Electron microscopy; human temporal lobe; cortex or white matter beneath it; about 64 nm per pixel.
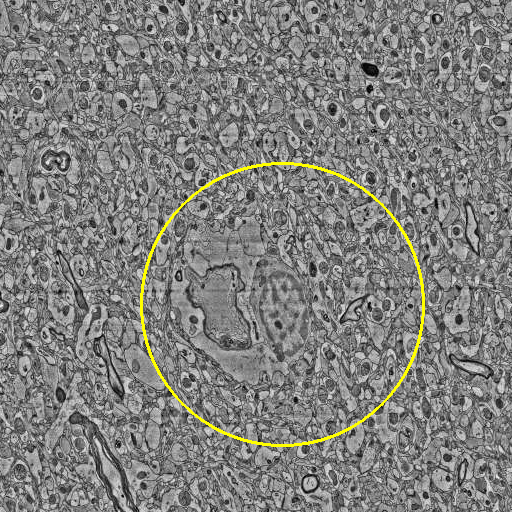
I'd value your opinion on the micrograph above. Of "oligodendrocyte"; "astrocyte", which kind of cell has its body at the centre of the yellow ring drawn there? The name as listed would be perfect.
oligodendrocyte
